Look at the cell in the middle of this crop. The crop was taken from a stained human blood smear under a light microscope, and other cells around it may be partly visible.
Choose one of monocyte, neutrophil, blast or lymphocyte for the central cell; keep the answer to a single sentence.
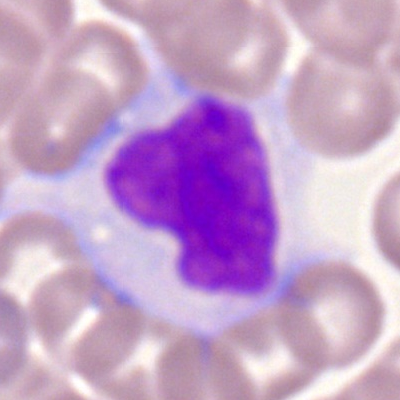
The cell under consideration, at the middle of the crop, is a monocyte.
